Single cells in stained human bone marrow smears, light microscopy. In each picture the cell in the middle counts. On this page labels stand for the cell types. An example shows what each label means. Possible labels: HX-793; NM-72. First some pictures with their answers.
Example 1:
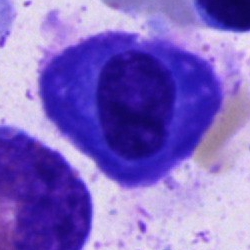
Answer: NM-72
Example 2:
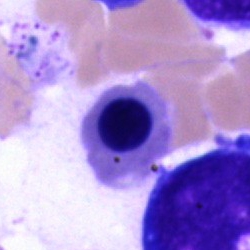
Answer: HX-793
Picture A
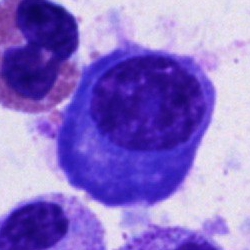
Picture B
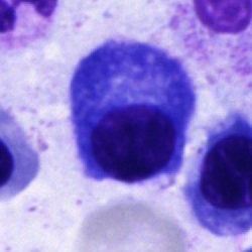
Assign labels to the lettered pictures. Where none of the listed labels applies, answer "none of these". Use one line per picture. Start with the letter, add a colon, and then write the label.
A: NM-72
B: NM-72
